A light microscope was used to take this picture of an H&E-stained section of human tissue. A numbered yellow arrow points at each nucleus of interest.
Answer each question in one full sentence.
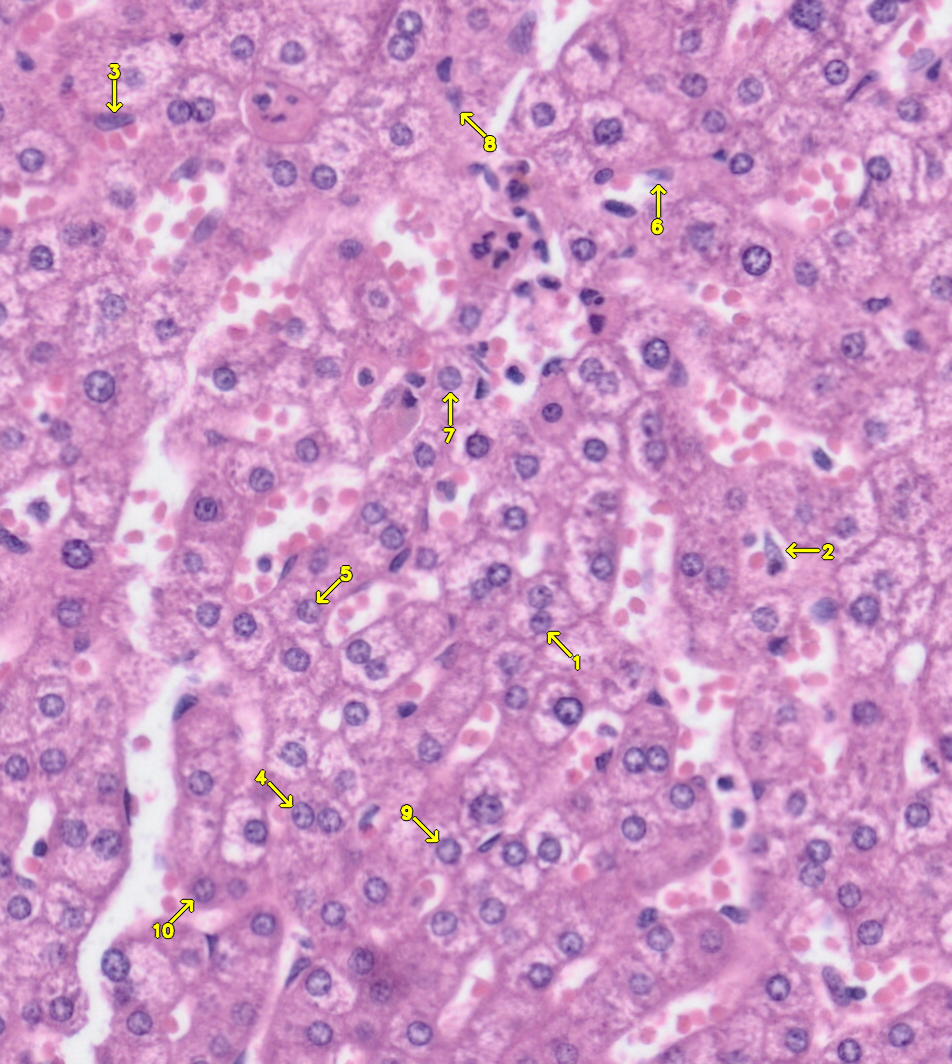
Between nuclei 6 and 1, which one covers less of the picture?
The smaller nucleus is 6, and 1 covers roughly 1.5 times its area.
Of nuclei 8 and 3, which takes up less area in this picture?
It is nucleus 8; nucleus 3 has about 1.5 times its area.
